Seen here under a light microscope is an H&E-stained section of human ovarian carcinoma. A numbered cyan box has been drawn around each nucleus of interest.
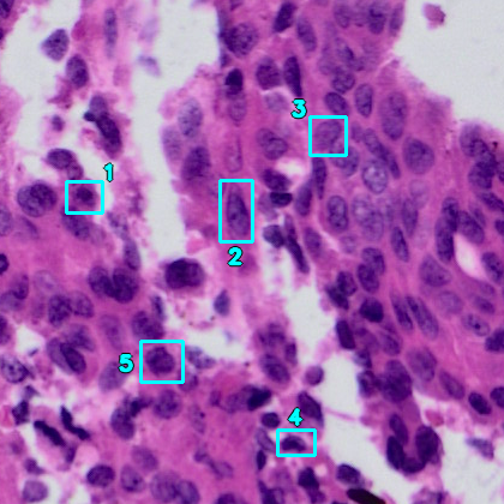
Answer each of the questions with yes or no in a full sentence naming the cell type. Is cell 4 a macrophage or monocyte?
Yes, to put it simply, cell number 4 is a macrophage or monocyte.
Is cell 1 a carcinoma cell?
Yes, the cell with the mark numbered 1 is a carcinoma cell.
